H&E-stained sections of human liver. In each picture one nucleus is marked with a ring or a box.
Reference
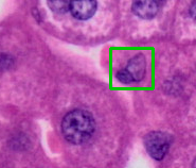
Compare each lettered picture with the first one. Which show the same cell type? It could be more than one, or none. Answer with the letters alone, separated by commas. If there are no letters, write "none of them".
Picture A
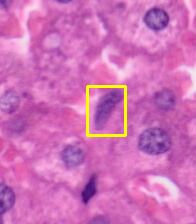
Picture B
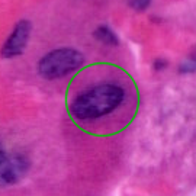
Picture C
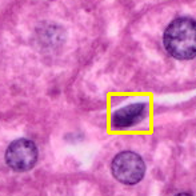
A, C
